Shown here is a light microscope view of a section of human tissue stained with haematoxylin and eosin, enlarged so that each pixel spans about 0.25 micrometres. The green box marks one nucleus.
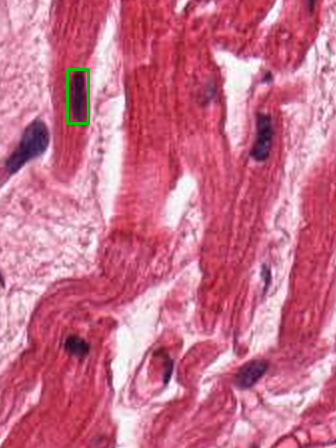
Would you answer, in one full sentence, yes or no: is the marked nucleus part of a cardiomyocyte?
Yes, the marked nucleus is present within a cardiomyocyte.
